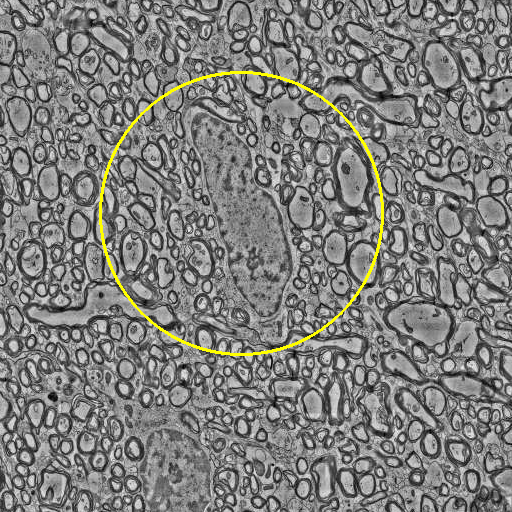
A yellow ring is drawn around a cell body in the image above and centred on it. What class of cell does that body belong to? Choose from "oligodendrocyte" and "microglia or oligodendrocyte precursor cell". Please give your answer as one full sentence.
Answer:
The yellow ring above is centred on the cell body of a microglial cell or oligodendrocyte precursor cell.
